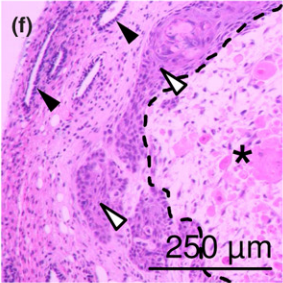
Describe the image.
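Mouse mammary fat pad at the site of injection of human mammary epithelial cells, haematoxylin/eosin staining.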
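Pink stroma with scattered spindle-shaped nuclei fills the left part, where a few small ducts appear as narrow lumens lined by a thin layer of cells. Toward the centre, compact nests of tumour cells with crowded dark purple nuclei push into the stroma. To the right, beyond a boundary, lies a pale pink area of large rounded cells with faint or missing nuclei, the necrotic cells.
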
